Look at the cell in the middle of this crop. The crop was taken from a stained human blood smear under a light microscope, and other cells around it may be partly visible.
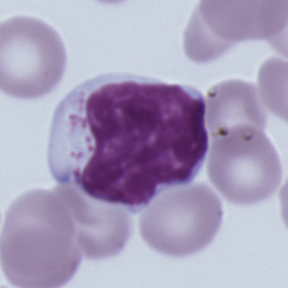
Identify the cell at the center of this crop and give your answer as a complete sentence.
Whatever else lies nearby, the middle cell is a large granular lymphocyte.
